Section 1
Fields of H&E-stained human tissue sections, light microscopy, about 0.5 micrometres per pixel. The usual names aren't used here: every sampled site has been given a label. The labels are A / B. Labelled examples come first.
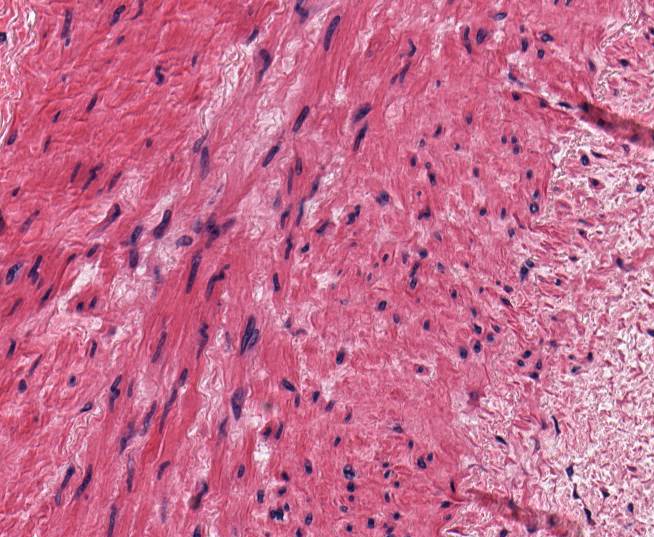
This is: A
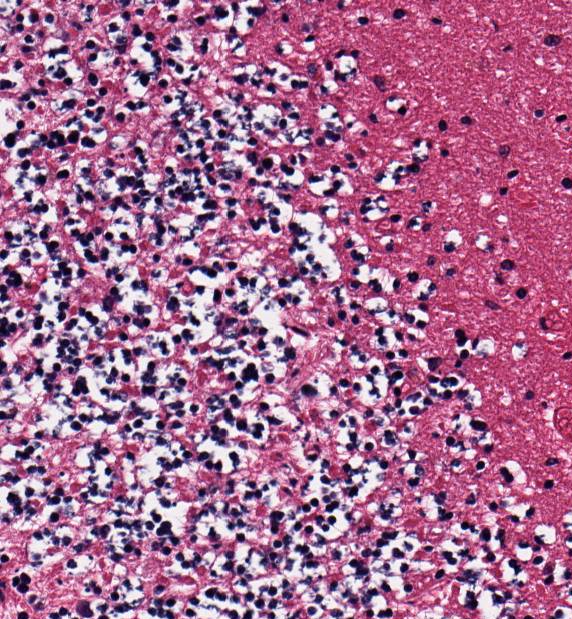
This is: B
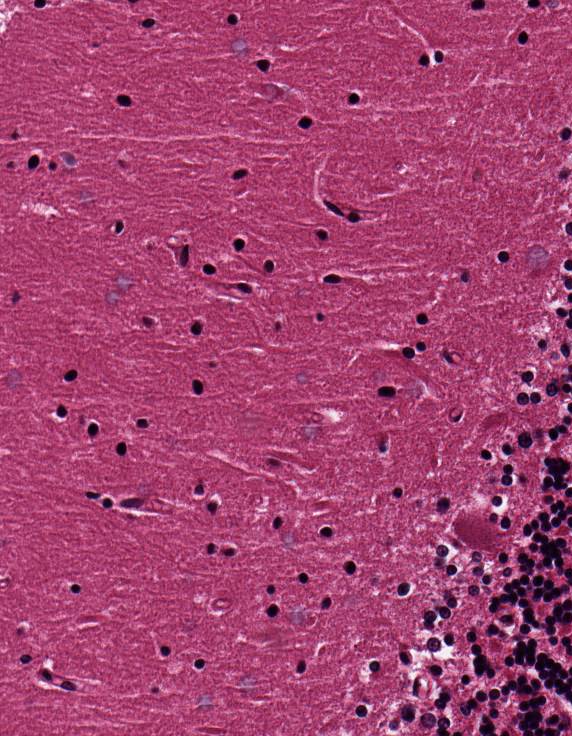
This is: B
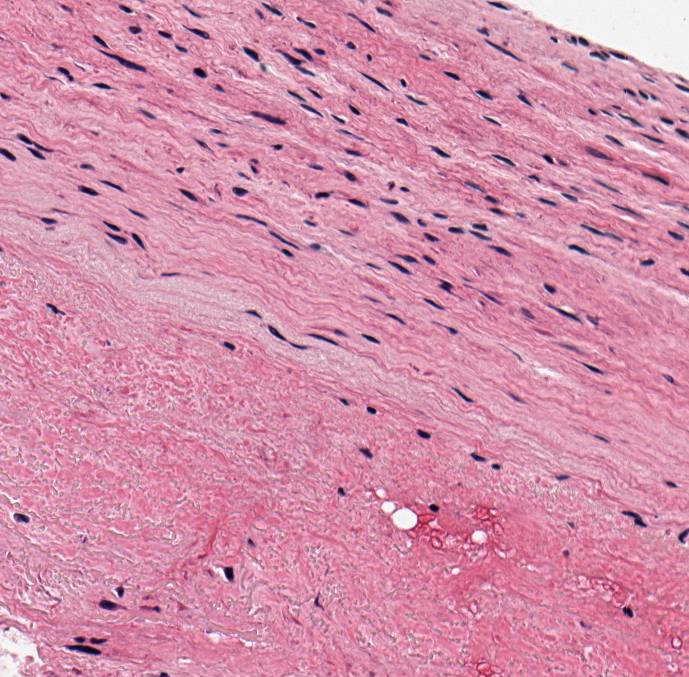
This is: A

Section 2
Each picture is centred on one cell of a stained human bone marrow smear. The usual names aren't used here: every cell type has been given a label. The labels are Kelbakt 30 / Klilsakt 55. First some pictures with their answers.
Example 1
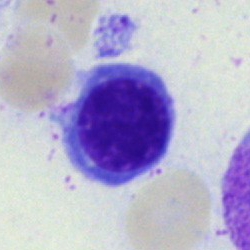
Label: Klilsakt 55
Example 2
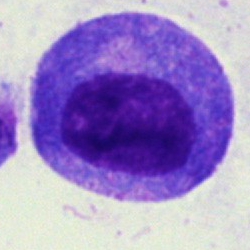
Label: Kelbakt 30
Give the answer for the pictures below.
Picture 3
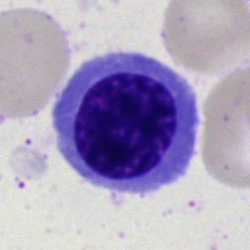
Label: Klilsakt 55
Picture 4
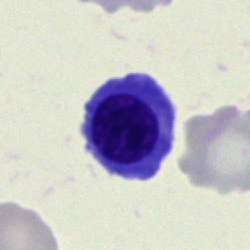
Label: Klilsakt 55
